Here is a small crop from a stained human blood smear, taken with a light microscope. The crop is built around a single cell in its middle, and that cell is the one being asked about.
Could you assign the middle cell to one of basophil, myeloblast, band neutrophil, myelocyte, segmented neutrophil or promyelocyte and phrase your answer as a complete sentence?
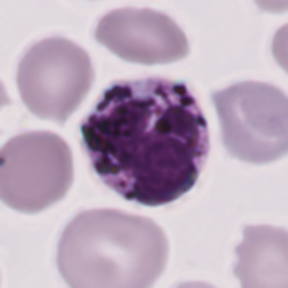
The center cell of this crop is a basophil.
